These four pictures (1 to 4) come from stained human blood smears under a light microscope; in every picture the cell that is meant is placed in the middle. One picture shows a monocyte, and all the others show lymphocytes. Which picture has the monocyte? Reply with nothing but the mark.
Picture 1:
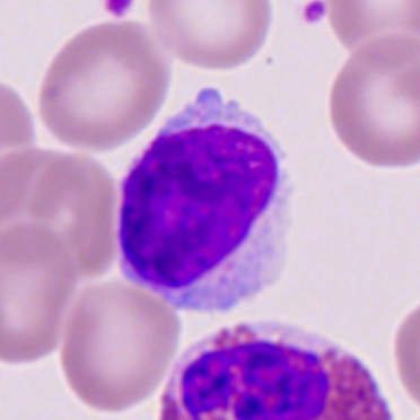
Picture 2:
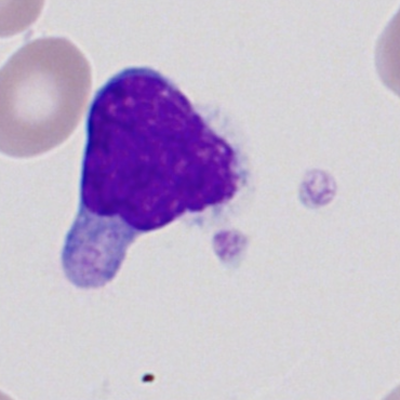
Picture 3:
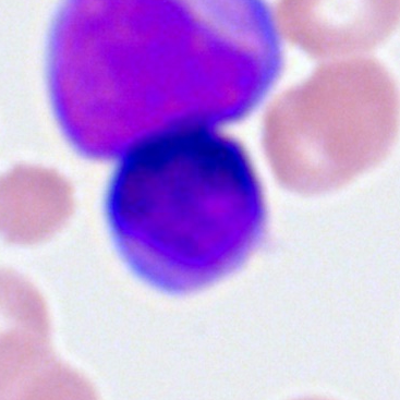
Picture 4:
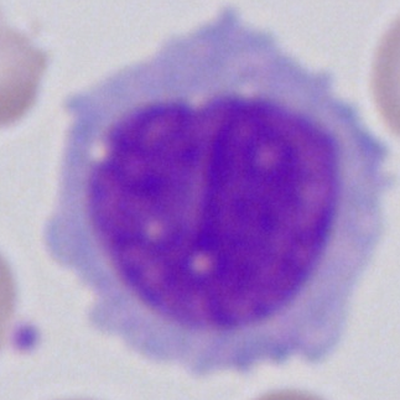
4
